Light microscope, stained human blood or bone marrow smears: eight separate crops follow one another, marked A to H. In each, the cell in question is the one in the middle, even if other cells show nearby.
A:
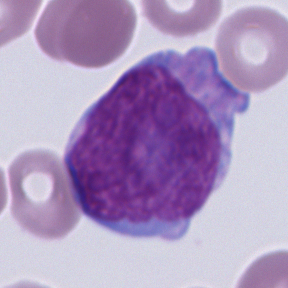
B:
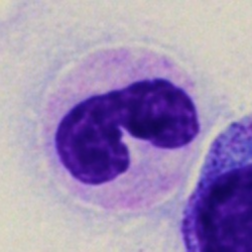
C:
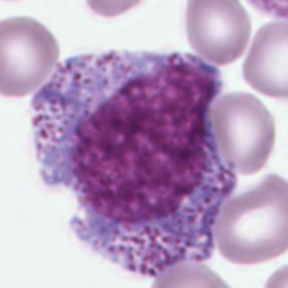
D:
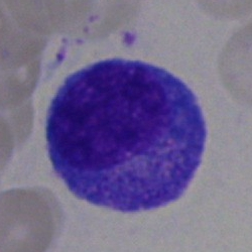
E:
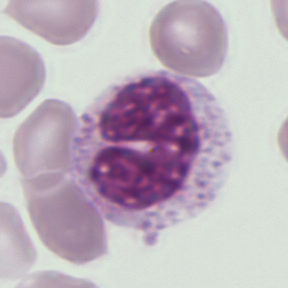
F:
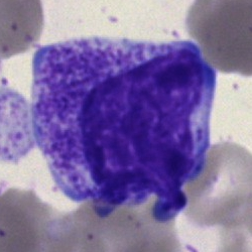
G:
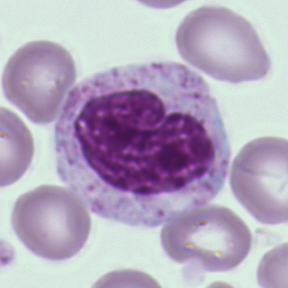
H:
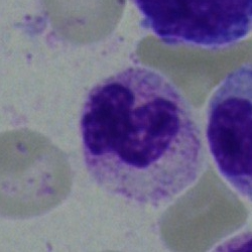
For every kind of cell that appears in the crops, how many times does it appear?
promyelocyte: 4
band neutrophil: 4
